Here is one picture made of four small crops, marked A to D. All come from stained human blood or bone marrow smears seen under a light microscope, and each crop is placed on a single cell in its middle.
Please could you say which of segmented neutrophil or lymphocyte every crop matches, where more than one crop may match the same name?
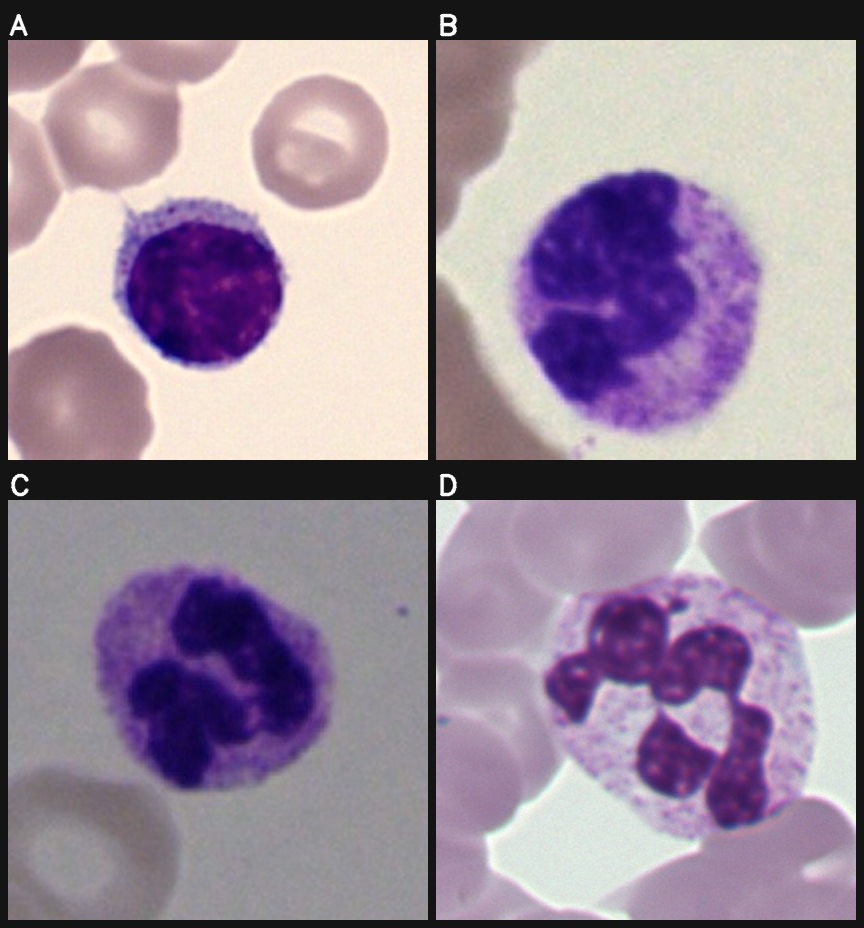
A: lymphocyte
B: segmented neutrophil
C: segmented neutrophil
D: segmented neutrophil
